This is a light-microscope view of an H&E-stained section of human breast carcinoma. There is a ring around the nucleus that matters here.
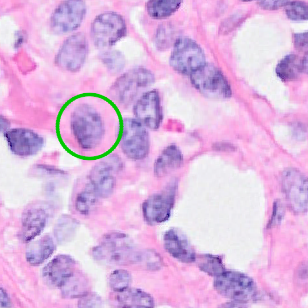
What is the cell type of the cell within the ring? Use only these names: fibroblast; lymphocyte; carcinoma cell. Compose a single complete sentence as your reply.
So far as cell type goes, the cell within the ring is a carcinoma cell.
